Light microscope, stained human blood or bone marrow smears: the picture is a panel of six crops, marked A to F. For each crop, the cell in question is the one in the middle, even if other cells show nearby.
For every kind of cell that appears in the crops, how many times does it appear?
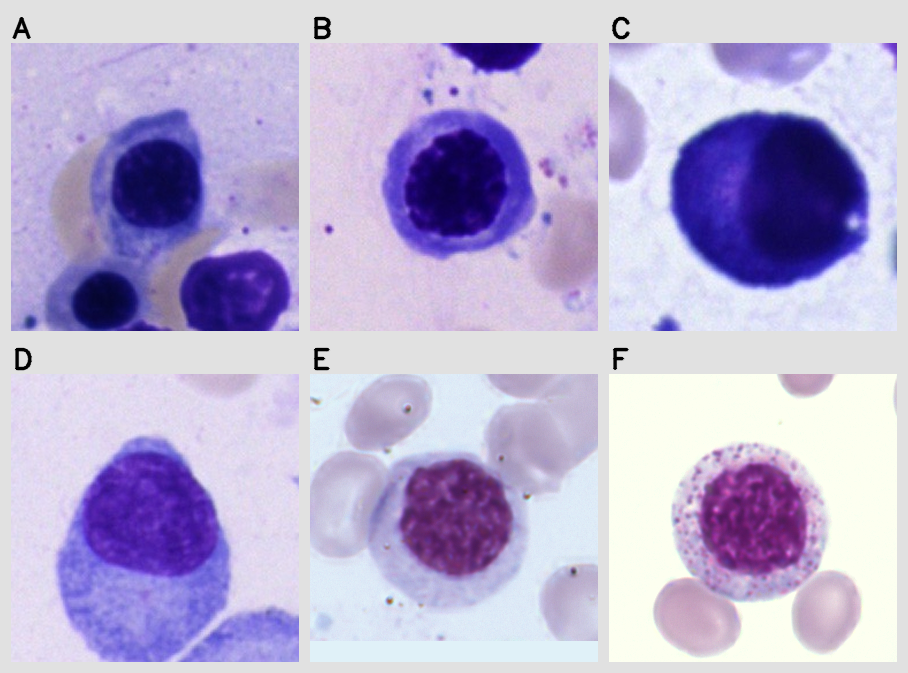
erythroblast: 2
plasma cell: 2
myelocyte: 2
